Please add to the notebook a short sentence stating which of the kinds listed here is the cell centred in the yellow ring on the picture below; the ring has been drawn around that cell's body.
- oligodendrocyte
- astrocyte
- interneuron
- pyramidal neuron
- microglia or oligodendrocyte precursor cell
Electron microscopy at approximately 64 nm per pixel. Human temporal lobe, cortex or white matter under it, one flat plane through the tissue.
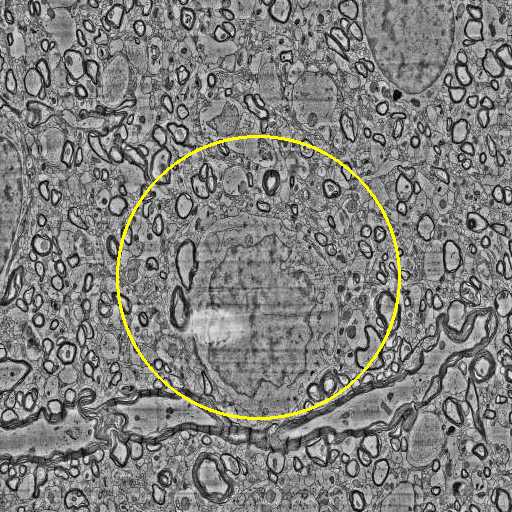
The cell centred in the yellow ring is an interneuron.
